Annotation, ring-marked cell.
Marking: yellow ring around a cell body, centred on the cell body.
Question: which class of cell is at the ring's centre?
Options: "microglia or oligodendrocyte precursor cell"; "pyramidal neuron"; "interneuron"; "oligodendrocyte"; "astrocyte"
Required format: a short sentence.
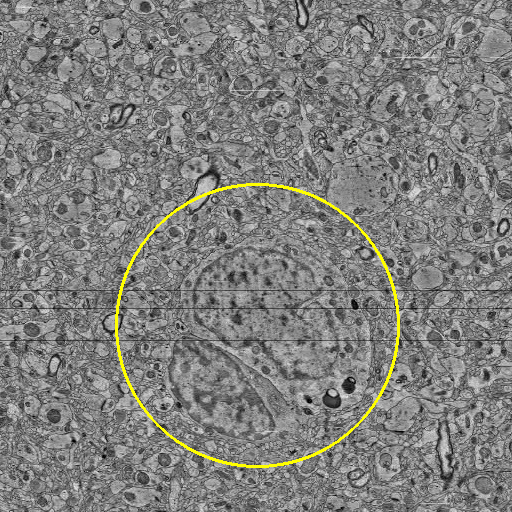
At the ring's centre is an interneuron.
